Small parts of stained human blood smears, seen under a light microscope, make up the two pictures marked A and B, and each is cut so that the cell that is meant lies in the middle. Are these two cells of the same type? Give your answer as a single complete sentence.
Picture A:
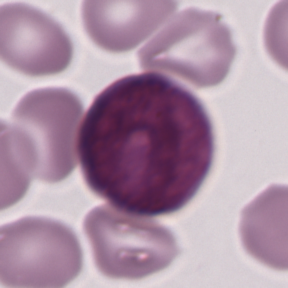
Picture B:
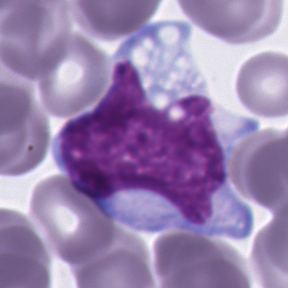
No, picture A shows a myeloblast and picture B shows a monocyte.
